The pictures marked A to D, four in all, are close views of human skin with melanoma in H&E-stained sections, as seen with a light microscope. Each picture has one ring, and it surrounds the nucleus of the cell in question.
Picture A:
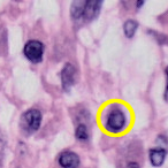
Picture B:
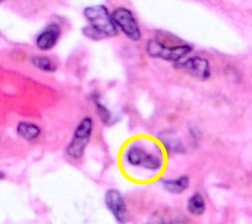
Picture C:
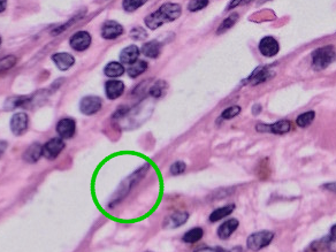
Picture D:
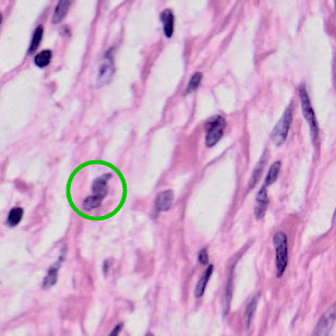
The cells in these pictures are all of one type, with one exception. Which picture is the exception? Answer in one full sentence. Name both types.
The different one is picture C; it shows an endothelial cell, whereas all the others show “macrophages or monocytes”.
